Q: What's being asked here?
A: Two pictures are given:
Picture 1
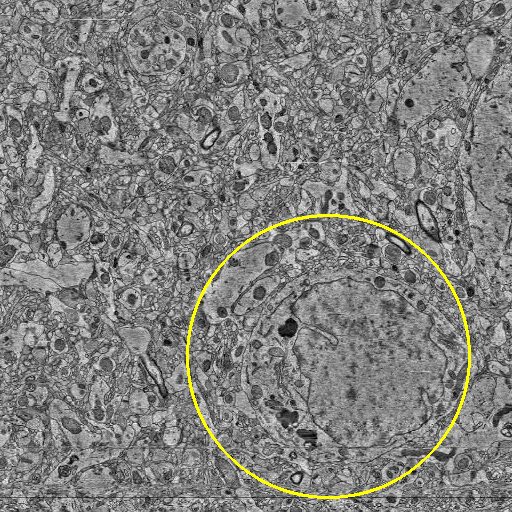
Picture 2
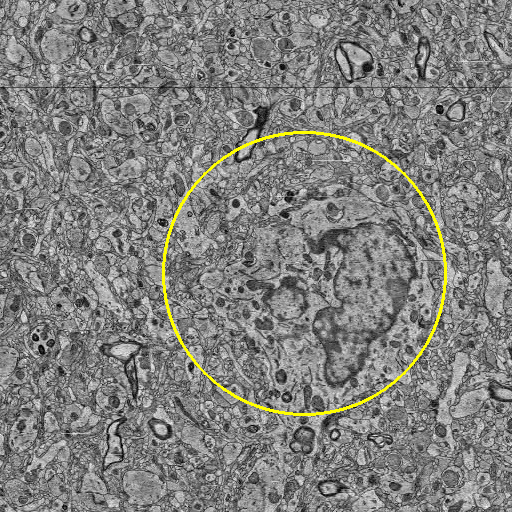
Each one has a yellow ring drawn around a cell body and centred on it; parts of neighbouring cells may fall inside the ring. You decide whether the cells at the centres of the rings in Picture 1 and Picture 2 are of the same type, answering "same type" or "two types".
two types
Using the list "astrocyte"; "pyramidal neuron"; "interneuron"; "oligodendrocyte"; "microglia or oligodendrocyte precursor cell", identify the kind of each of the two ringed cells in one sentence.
The first is an interneuron and the second is a microglial cell or oligodendrocyte precursor cell.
